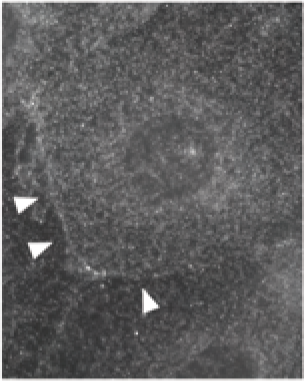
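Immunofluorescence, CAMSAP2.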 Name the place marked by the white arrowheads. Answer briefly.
Cortical.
